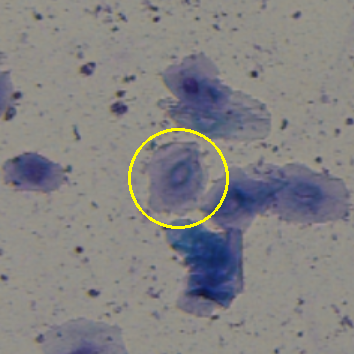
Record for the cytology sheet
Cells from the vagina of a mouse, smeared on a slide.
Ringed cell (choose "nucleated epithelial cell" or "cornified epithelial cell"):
nucleated epithelial cell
